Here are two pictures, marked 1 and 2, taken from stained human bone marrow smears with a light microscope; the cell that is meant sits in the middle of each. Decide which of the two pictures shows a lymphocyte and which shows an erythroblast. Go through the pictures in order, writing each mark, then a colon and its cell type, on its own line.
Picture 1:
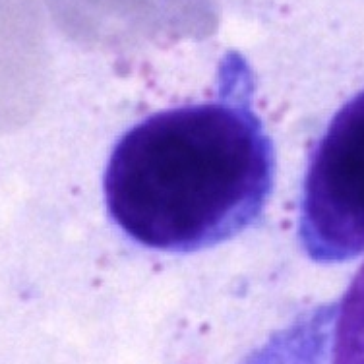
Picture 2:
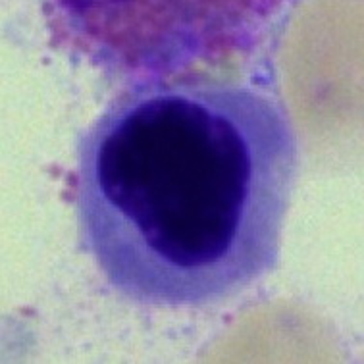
1: lymphocyte
2: erythroblast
